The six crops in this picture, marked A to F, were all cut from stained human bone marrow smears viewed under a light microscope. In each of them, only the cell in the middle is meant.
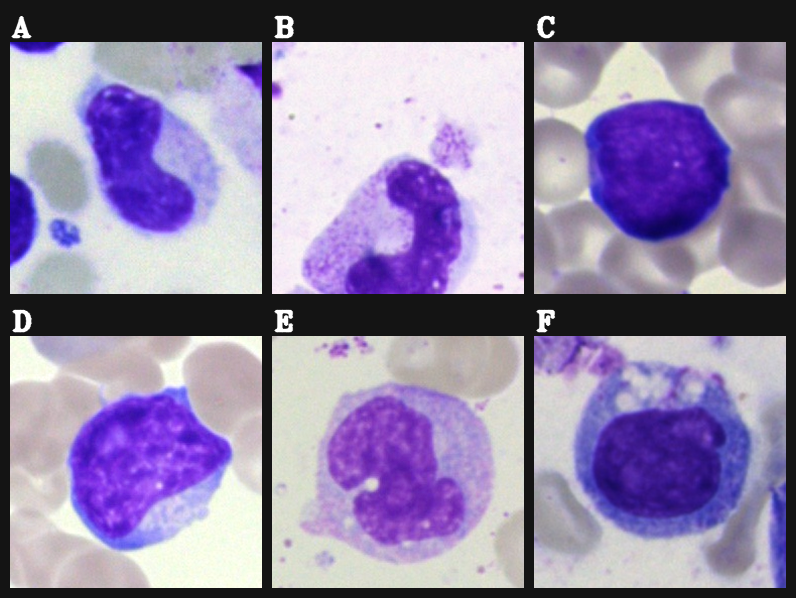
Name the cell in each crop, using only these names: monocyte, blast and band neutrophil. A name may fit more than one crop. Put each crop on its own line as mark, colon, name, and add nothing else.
A: band neutrophil
B: band neutrophil
C: blast
D: blast
E: monocyte
F: monocyte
